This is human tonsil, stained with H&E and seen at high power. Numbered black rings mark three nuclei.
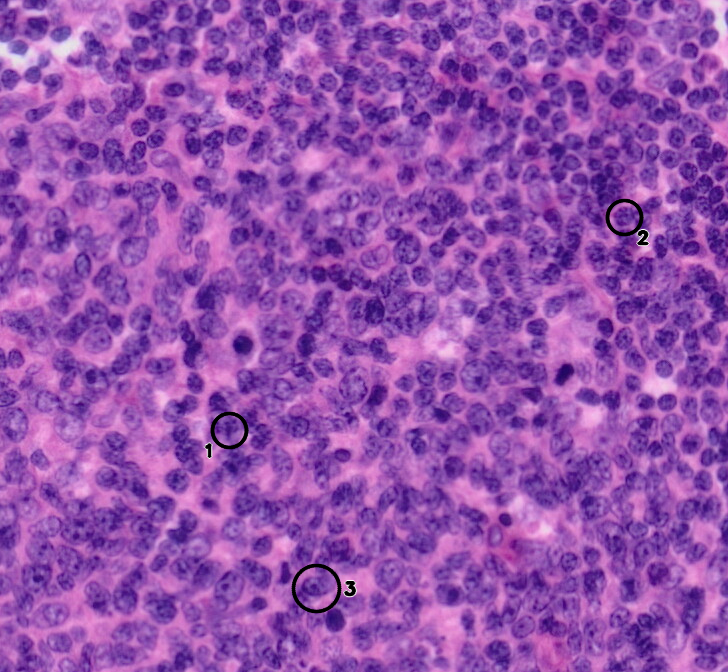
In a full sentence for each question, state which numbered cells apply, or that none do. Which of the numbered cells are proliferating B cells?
The cells numbered 1 and 3 are, by type, proliferating B cells.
